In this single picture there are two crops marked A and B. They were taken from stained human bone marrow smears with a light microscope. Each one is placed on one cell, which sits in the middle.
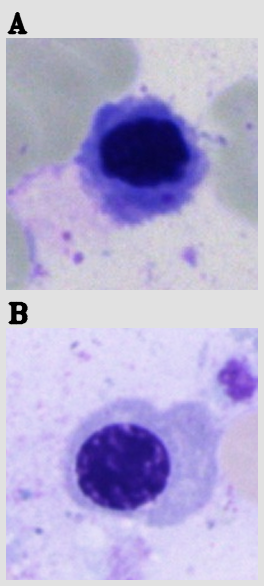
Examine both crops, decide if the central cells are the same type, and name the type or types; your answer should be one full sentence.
Yes, both crops depict normoblasts at the centre.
